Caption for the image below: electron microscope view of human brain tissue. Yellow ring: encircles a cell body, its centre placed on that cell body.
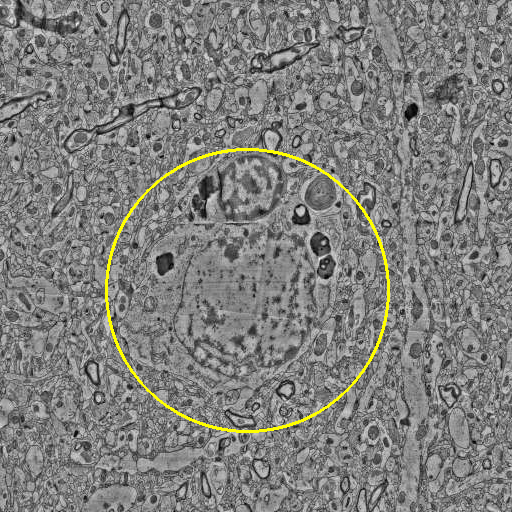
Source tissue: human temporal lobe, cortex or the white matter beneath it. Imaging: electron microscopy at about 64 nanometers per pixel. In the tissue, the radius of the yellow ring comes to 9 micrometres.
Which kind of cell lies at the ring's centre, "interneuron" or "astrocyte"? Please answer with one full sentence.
The picture shows an interneuron at the centre of the yellow ring.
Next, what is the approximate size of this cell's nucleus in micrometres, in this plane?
The nucleus has a long axis of about 11 micrometres and a short axis of about 9 micrometres in this plane.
